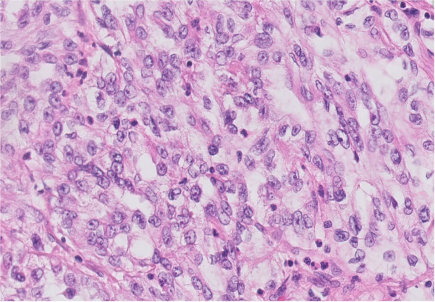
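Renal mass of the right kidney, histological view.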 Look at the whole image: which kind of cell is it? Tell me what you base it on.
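Epithelioid cells. Cells are plump and polygonal with pink cytoplasm. Nuclei vary in size and shape.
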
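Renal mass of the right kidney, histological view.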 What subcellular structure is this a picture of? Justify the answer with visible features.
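Nuclei are large with pale open chromatin. Many nuclei contain a distinct dark dot.
Conclusion: prominent nucleoli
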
